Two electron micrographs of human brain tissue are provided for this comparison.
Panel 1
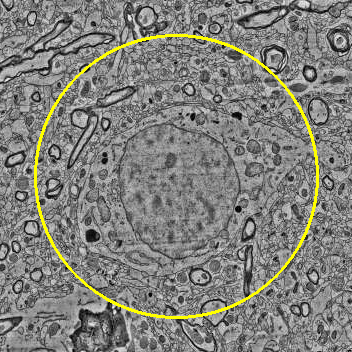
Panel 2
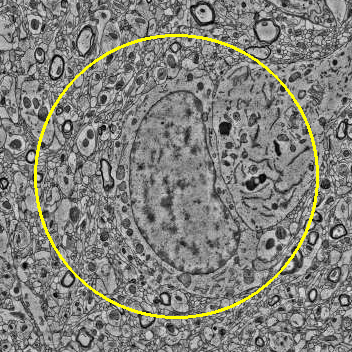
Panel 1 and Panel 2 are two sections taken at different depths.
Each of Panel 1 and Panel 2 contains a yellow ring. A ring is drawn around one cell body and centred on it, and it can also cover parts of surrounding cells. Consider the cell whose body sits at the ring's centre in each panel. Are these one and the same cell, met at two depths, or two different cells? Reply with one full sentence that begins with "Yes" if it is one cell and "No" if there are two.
No, two cells, not one, are marked by the yellow rings.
